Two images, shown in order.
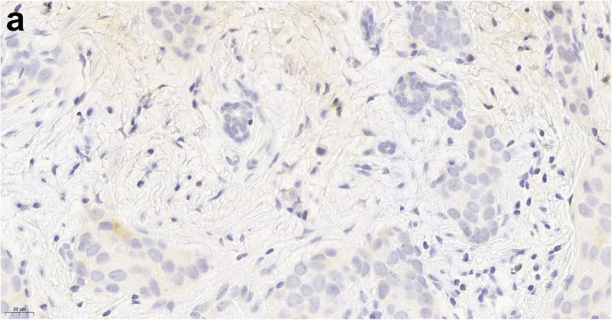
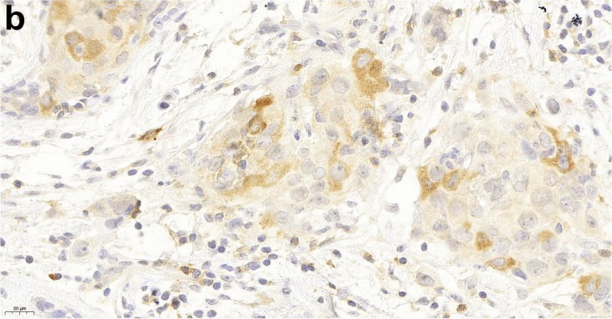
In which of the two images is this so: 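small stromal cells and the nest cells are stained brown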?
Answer: The second image.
